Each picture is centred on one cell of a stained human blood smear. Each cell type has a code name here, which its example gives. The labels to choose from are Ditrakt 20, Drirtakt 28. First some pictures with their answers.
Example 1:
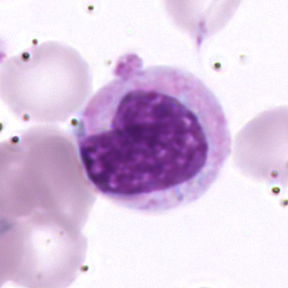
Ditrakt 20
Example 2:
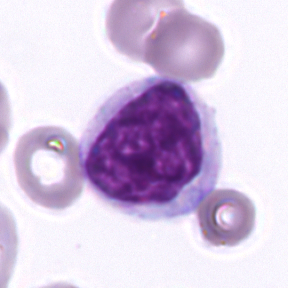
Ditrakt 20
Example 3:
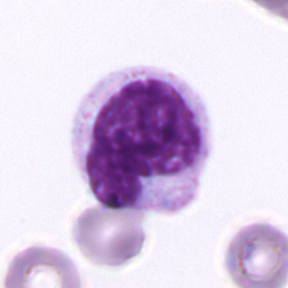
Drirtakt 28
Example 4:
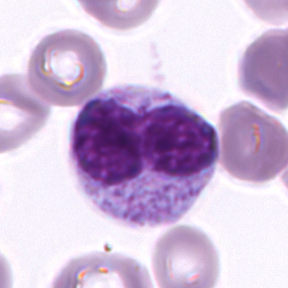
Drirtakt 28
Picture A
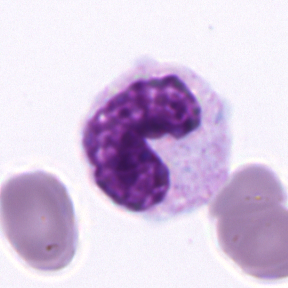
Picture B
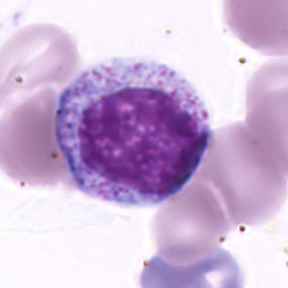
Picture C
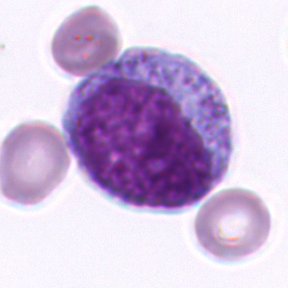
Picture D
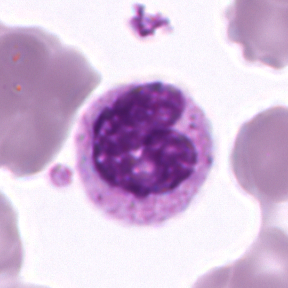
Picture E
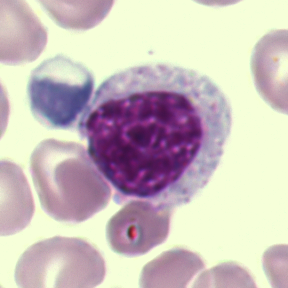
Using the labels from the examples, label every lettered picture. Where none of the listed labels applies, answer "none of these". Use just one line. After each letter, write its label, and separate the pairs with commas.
A Drirtakt 28, B none of these, C none of these, D Drirtakt 28, E Ditrakt 20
